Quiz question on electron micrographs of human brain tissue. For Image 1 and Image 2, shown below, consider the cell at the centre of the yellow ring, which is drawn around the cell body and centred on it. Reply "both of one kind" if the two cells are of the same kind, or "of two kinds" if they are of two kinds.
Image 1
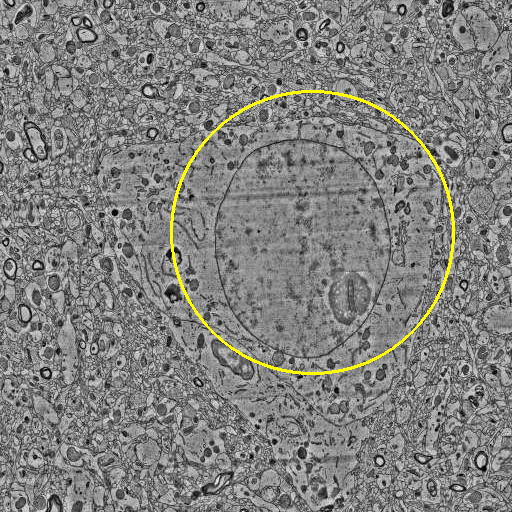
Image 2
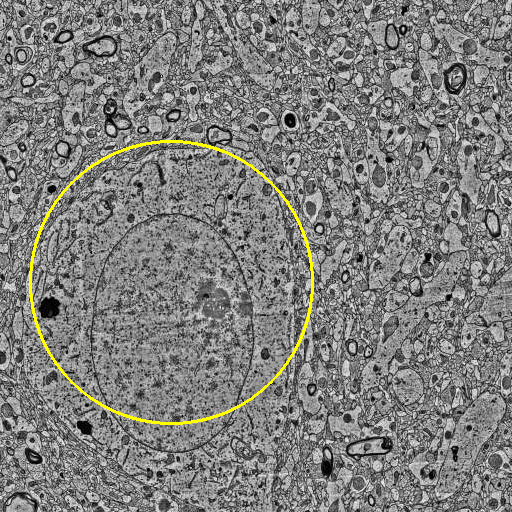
both of one kind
